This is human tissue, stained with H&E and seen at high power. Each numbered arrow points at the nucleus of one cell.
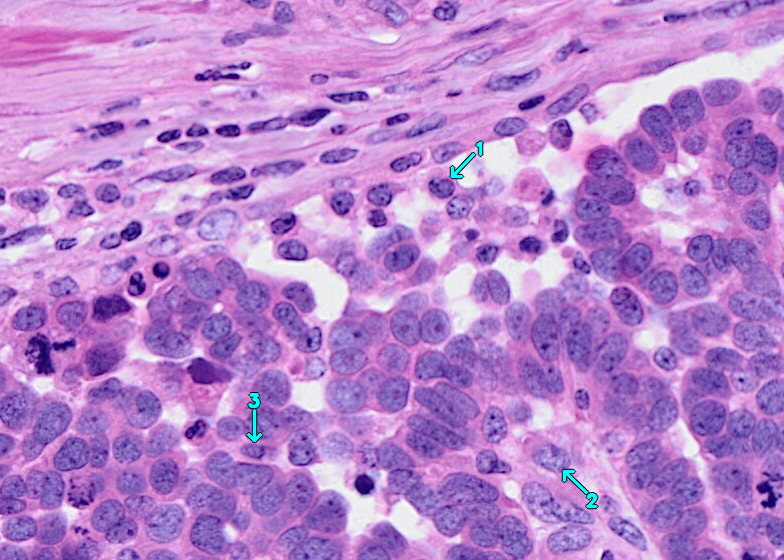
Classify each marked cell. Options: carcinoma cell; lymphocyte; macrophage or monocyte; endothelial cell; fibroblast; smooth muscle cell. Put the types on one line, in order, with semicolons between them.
macrophage or monocyte; fibroblast; macrophage or monocyte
